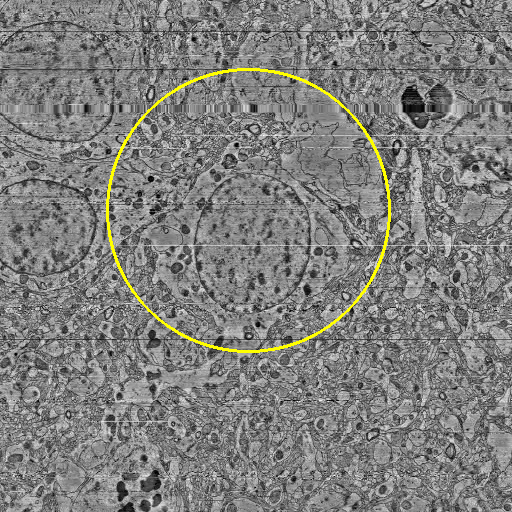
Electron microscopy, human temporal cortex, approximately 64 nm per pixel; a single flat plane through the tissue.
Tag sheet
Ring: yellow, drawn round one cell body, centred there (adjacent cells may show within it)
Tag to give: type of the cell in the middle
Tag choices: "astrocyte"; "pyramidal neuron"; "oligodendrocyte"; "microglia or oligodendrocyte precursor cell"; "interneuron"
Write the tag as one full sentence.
I tag the cell centred in the yellow ring as an astrocyte in this picture.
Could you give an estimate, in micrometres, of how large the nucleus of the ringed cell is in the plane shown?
The nucleus works out at approximately 9 by 8 micrometres in this plane.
